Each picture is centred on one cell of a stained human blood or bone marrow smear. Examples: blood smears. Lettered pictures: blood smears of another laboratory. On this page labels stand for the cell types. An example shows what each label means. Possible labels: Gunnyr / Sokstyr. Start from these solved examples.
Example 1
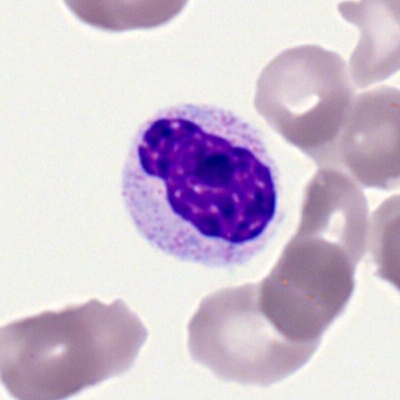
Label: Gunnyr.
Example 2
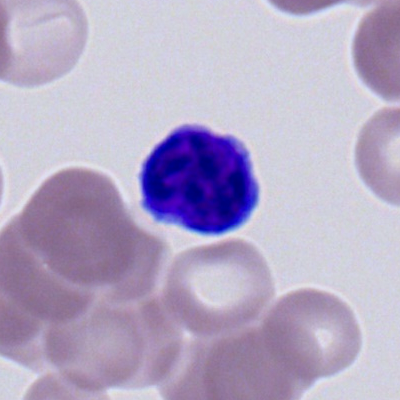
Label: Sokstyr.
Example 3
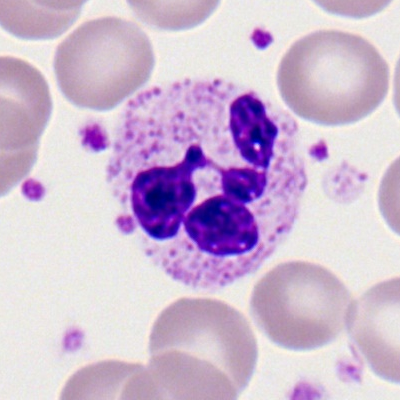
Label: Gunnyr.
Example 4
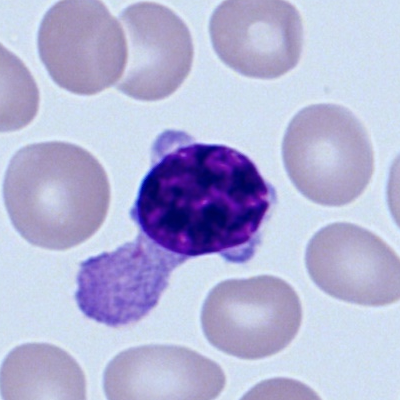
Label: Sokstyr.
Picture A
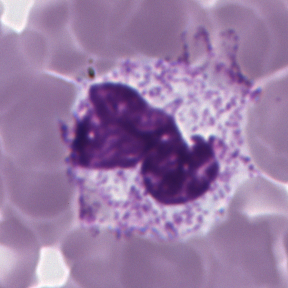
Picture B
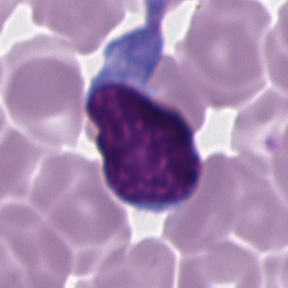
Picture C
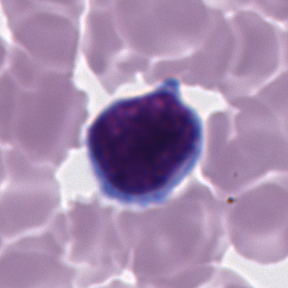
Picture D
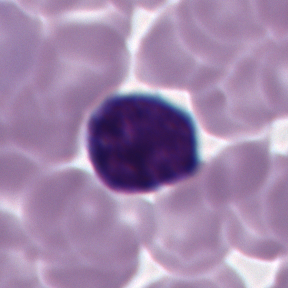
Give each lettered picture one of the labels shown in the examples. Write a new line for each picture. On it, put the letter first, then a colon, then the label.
A: Gunnyr.
B: Sokstyr.
C: Sokstyr.
D: Sokstyr.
